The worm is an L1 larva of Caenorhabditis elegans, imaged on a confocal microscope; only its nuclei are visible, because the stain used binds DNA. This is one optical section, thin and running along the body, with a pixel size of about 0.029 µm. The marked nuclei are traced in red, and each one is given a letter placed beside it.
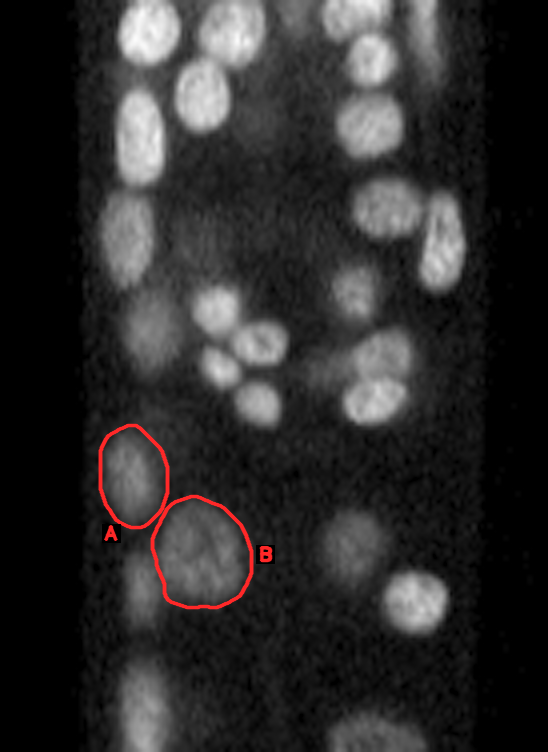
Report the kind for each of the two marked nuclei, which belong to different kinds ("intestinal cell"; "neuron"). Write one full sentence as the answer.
One is from a neuron, namely A, and the other, B, is from an intestinal cell.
